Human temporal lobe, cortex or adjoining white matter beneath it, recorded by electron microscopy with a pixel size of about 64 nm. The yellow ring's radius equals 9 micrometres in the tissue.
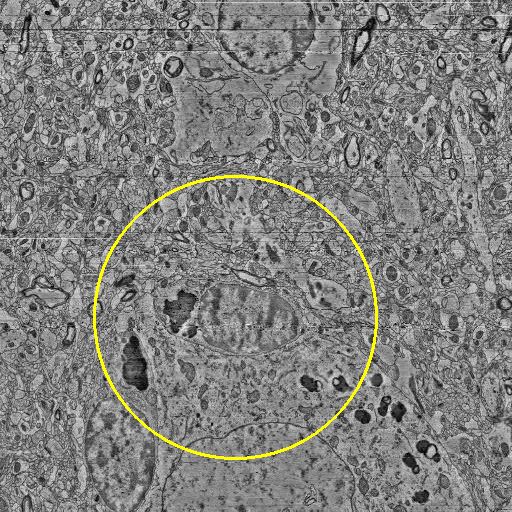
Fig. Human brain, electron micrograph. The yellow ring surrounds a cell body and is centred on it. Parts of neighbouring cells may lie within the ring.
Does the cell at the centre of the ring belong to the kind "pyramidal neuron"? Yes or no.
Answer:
no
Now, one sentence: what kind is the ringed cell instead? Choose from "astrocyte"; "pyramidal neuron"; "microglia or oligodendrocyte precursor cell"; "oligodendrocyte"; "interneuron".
What the ring encloses here is an oligodendrocyte.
